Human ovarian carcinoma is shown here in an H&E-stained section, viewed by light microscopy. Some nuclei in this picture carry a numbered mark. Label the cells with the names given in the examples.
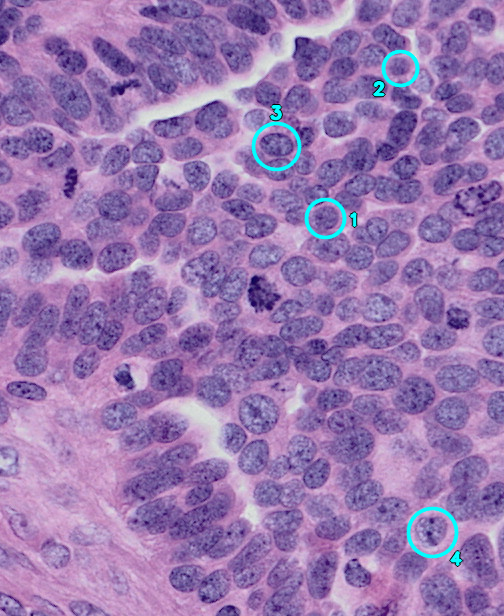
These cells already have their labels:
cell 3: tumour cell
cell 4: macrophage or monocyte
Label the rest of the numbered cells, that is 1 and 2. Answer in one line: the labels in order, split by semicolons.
tumour cell; tumour cell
